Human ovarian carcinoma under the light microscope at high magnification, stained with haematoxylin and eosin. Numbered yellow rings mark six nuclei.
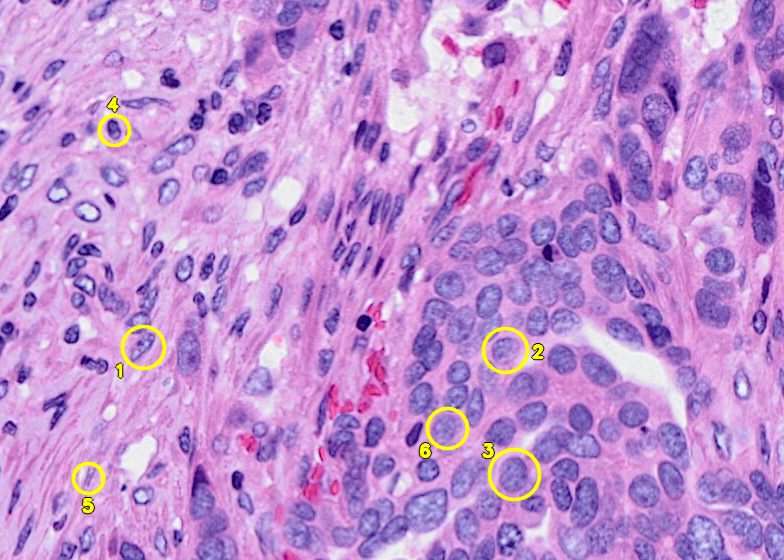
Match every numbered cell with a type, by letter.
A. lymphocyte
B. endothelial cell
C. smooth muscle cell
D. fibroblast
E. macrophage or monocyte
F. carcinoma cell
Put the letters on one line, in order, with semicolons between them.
D; F; F; A; D; F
